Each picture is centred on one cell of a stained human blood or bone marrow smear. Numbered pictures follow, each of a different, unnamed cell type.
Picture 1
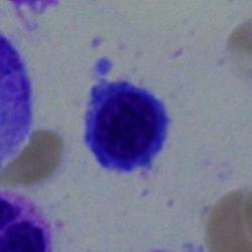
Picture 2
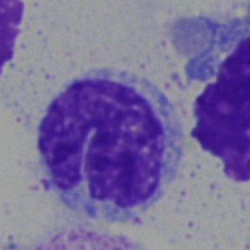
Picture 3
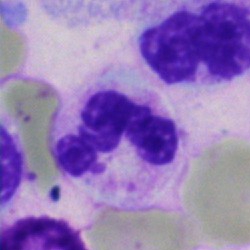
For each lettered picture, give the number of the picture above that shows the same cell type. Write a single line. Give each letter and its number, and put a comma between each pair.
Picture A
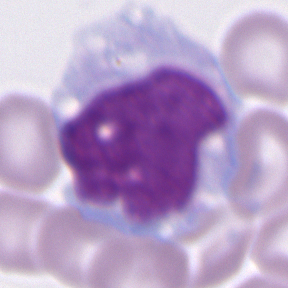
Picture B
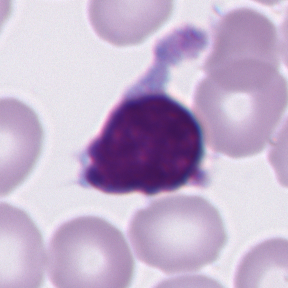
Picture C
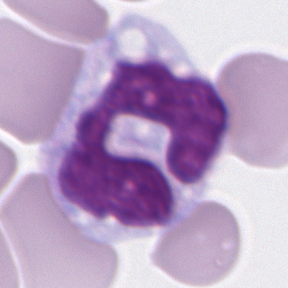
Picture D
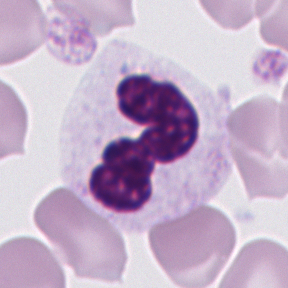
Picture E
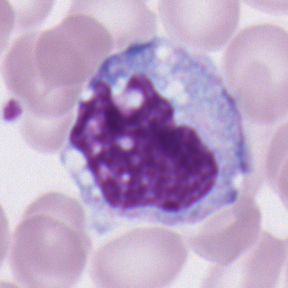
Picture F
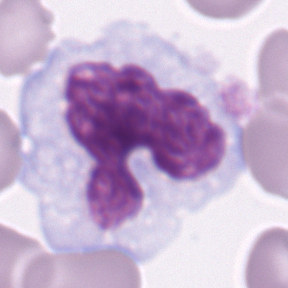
A 2, B 1, C 2, D 3, E 2, F 2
